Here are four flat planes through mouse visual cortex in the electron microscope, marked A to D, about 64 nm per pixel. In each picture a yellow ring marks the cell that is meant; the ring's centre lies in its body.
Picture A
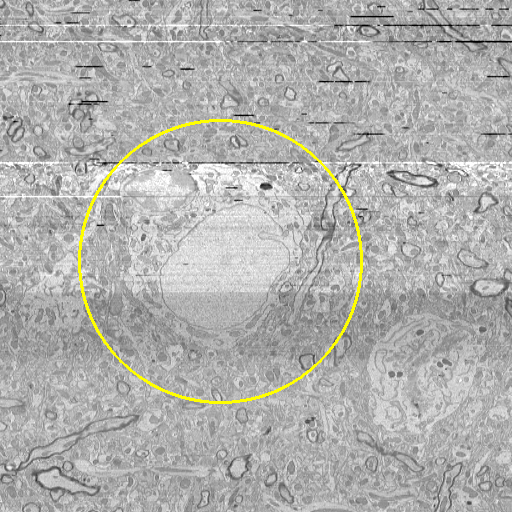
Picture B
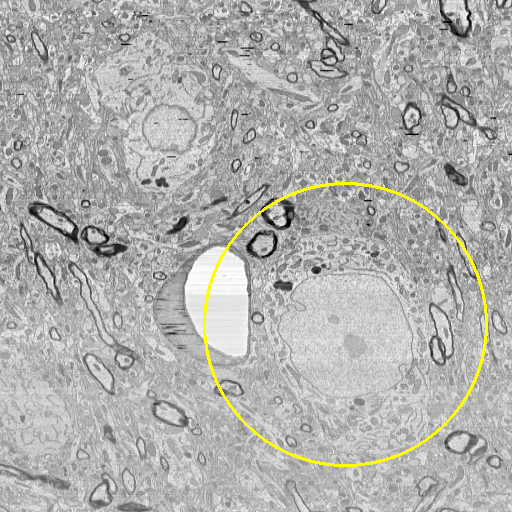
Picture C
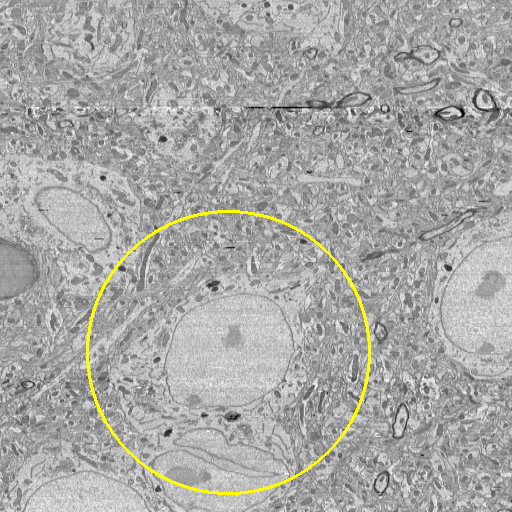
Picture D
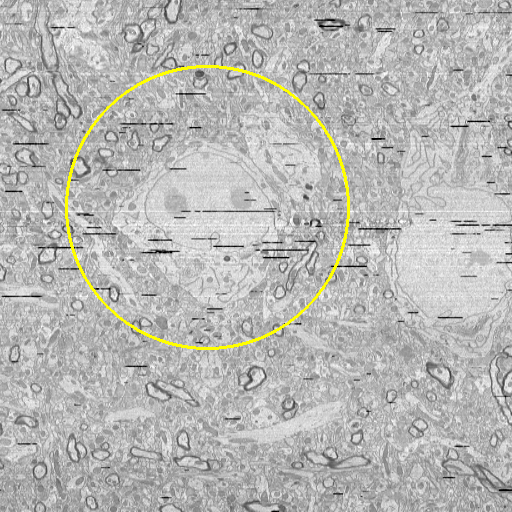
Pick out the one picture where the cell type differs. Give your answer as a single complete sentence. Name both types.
Picture B differs, because its cell is an inhibitory neuron and the rest are excitatory neurons.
